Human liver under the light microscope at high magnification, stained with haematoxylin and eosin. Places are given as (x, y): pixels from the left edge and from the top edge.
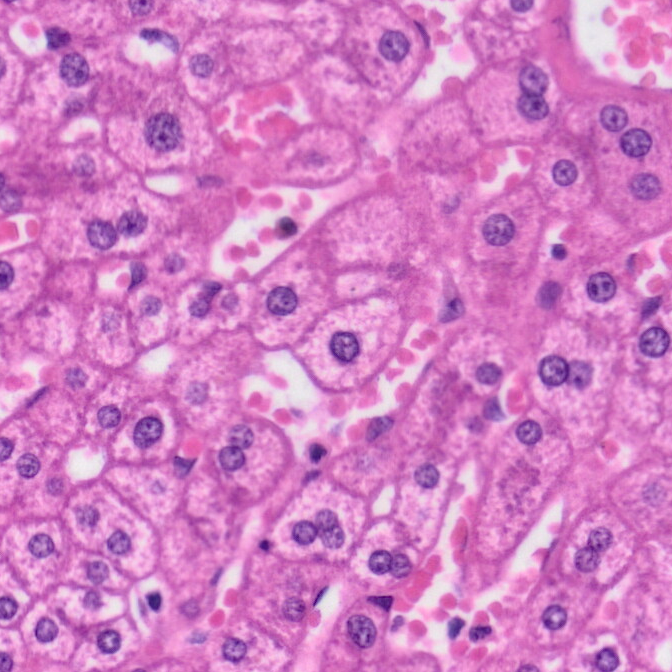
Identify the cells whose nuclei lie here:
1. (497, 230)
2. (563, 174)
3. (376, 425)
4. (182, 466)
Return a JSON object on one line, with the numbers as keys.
{"1": "hepatocyte", "2": "hepatocyte", "3": "Kupffer cell", "4": "endothelial cell"}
